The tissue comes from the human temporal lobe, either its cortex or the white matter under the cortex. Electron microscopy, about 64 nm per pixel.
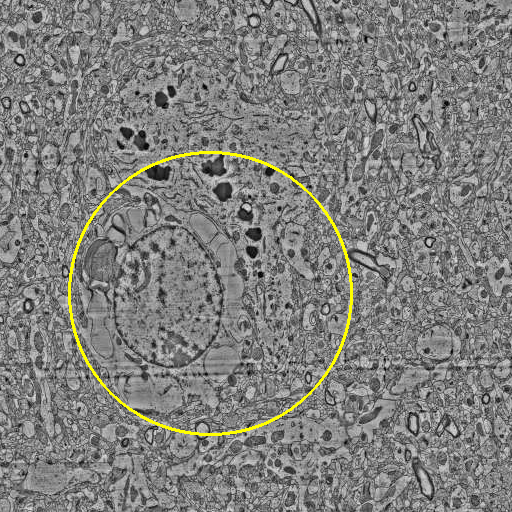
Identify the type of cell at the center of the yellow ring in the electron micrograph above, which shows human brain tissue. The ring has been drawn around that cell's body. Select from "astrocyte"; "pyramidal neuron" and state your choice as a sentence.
The yellow ring is centered on the body of an astrocyte.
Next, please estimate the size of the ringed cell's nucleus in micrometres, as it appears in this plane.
In this plane the nucleus is about 9 micrometres by 7.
